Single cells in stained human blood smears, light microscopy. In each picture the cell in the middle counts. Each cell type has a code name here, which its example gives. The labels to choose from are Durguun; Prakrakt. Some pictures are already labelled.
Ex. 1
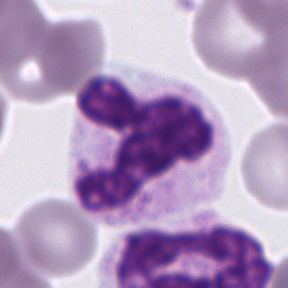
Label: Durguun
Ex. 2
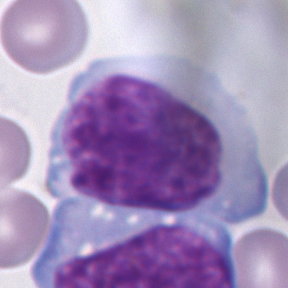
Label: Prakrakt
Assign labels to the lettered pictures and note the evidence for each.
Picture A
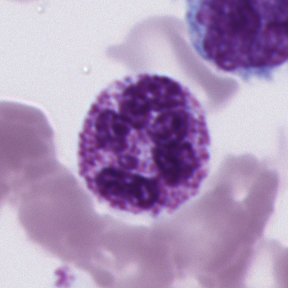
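Durguun. Evidence: The nucleus is divided into several separate lobes arranged around the centre of the cell.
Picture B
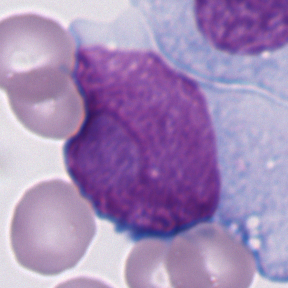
Prakrakt. Evidence: The nucleus fills almost the whole cell.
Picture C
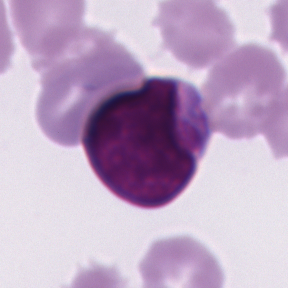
Prakrakt. Evidence: The nucleus fills most of the cell.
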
